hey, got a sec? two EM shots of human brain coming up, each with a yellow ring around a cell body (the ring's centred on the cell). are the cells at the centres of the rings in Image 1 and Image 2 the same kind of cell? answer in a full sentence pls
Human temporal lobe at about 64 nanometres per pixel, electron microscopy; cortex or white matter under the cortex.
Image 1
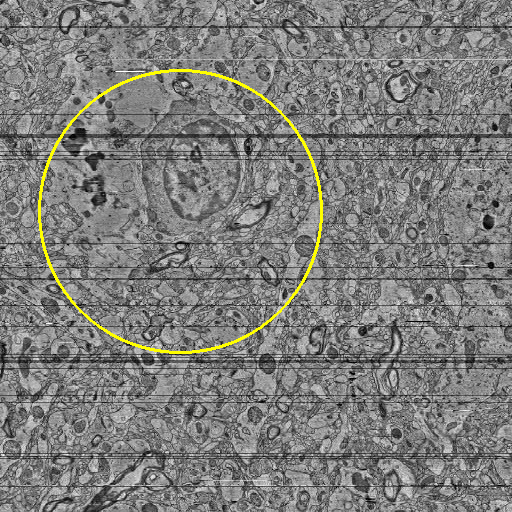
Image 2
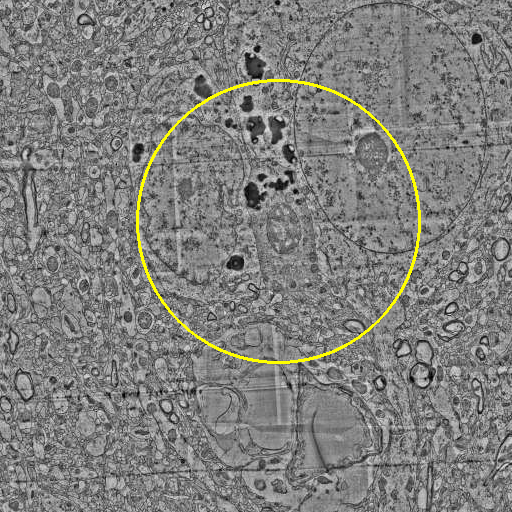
Yes, both are the same kind of cell.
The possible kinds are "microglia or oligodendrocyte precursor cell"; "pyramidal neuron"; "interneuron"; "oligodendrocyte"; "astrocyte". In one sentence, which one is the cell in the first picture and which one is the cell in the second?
Each cell, in the first picture and the second, is an oligodendrocyte.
